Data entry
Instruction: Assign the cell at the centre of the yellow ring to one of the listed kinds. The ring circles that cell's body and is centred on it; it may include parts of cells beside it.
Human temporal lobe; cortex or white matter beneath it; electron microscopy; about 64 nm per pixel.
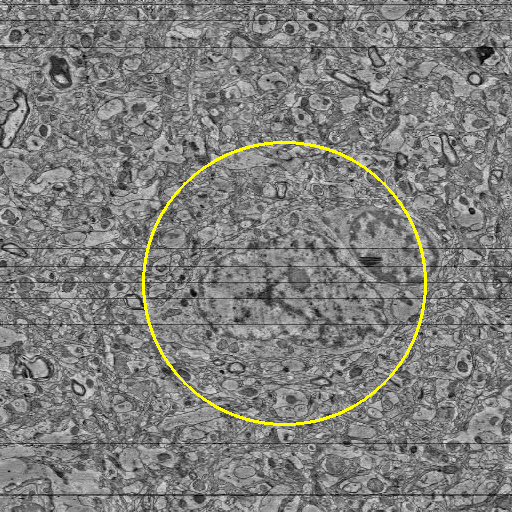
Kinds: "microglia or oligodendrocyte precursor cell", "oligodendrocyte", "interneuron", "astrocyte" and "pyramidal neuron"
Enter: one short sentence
The centre of the ring falls on an interneuron.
